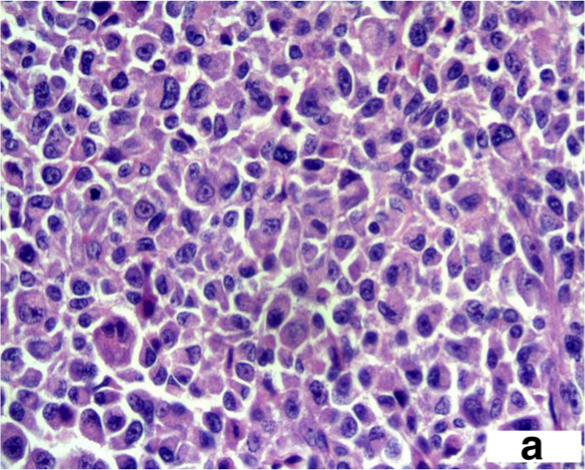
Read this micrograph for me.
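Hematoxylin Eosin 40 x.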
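This field shows a dense sheet of neoplastic mononuclear cells with little intervening stroma. The cells have round, oval or somewhat elongated nuclei, several with a visible nucleolus. The nuclei vary somewhat in size and staining intensity across the field.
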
